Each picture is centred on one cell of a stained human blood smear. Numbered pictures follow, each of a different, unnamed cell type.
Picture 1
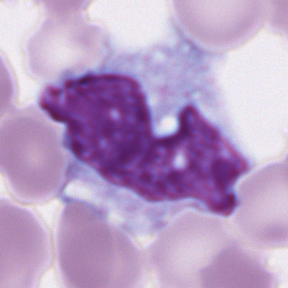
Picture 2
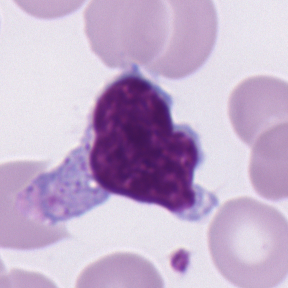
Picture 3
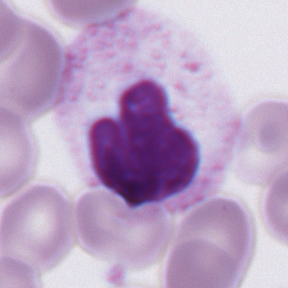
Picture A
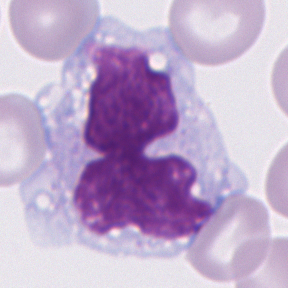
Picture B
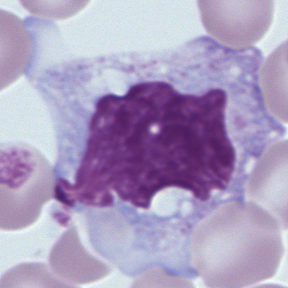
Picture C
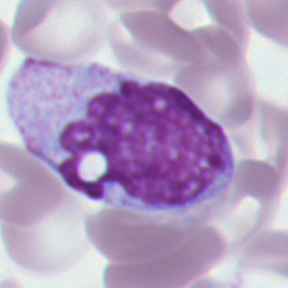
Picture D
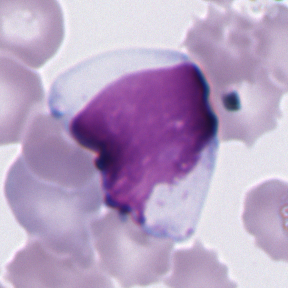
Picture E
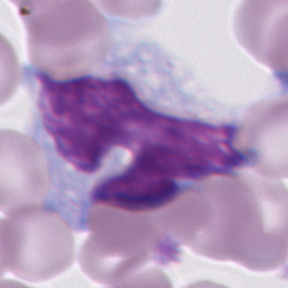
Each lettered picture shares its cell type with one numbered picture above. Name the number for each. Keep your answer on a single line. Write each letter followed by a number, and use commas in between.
A 1, B 1, C 1, D 2, E 1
